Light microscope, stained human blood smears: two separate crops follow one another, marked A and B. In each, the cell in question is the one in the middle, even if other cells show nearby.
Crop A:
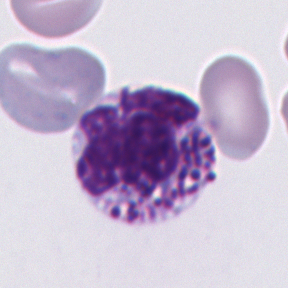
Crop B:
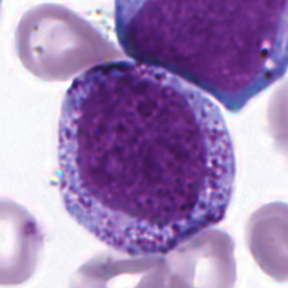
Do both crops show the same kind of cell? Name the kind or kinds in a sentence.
No, crop A is to be identified as a basophil and crop B as a promyelocyte.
